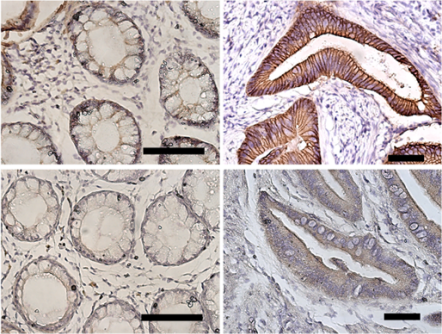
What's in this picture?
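Colonic mucosa, with non-tumor crypts on the left and tumor glands on the right, stained brown with blue counterstain. The non-tumor crypts are cut across as round profiles lined by cells with many clear, pale mucin-filled cytoplasmic vacuoles, separated by cellular lamina propria. Staining in the non-tumor crypts is faint. The tumor glands are elongated and irregular, lined by tall, crowded columnar cells with elongated nuclei lying in several rows. In the upper tumor image the brown stain outlines the lateral cell borders strongly; in the lower one the brown stain is weaker and diffuse in the cytoplasm. Spindle-shaped stromal cells surround the tumor glands.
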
